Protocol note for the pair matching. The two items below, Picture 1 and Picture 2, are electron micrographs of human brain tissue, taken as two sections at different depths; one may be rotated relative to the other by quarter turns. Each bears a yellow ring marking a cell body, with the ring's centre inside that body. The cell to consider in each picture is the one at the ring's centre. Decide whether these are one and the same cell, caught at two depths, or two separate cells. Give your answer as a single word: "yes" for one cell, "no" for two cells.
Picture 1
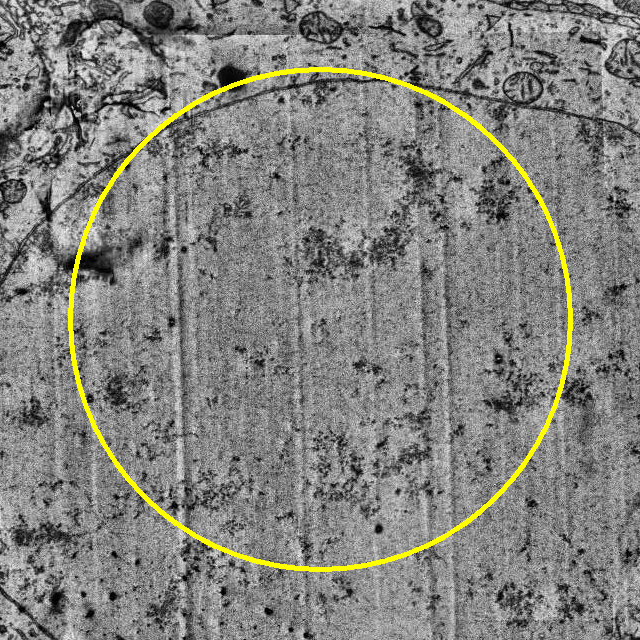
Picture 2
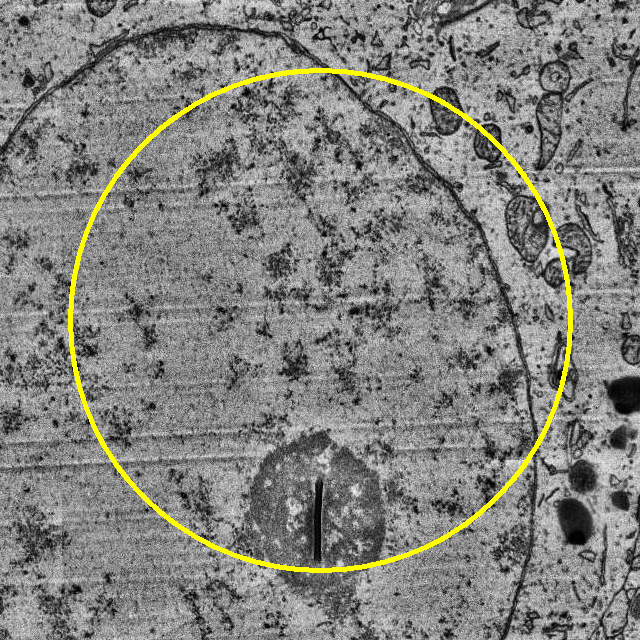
yes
